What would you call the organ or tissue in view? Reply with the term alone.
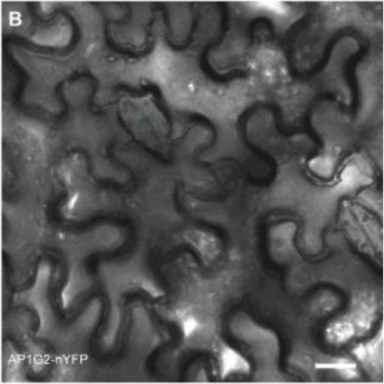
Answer: Leaf epidermis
